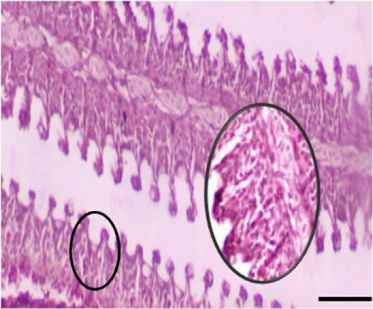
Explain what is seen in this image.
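This is fish gill, with filaments bearing rows of secondary lamellae projecting on either side. In places the spaces between neighbouring lamellae are filled by proliferated epithelium so that lamellae are fused into solid masses of cells, shown enlarged in an inset.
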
